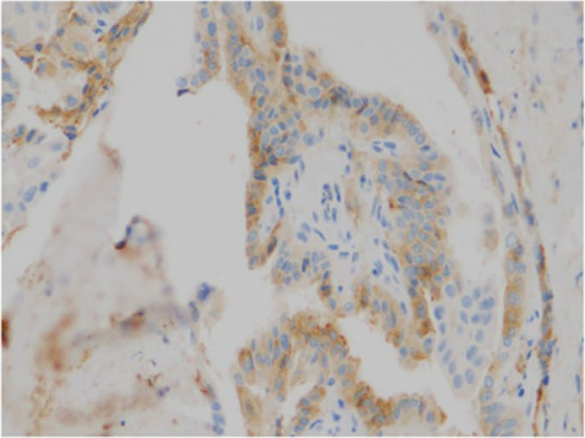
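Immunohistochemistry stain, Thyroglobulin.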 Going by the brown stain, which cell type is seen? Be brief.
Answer: Tumor cells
